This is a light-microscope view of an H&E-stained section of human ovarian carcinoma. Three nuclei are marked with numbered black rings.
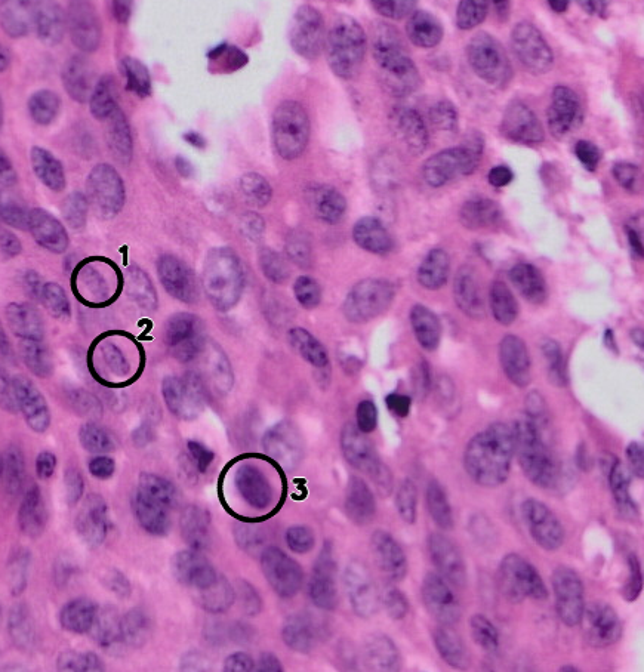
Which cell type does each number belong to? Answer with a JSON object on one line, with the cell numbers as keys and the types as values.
{"1": "carcinoma cell", "2": "macrophage or monocyte", "3": "carcinoma cell"}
